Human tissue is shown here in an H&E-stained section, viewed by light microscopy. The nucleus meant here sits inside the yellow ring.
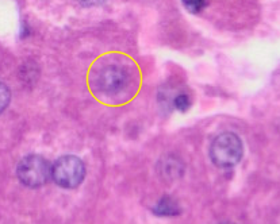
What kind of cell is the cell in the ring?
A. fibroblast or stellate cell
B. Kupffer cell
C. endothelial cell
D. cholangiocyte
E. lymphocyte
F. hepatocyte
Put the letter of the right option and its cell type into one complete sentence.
Here the correct option is F, since the cell in the ring is a hepatocyte.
